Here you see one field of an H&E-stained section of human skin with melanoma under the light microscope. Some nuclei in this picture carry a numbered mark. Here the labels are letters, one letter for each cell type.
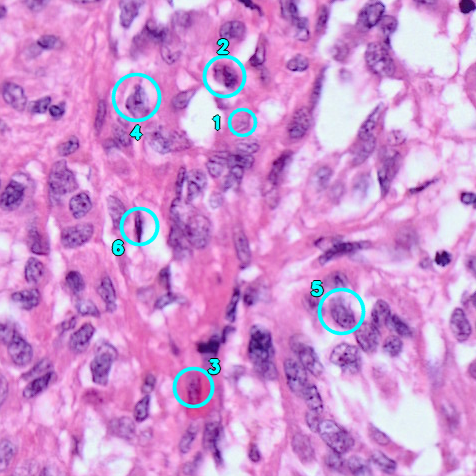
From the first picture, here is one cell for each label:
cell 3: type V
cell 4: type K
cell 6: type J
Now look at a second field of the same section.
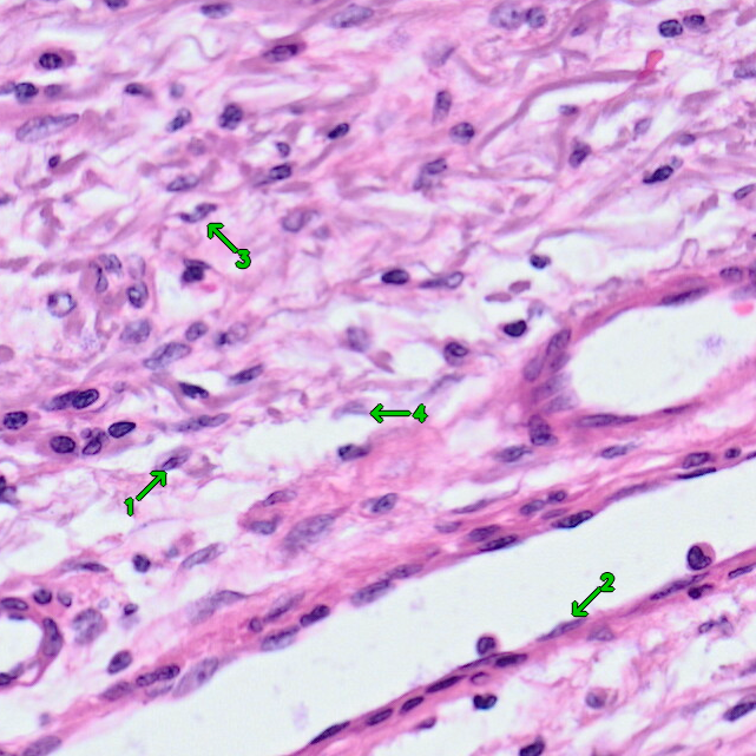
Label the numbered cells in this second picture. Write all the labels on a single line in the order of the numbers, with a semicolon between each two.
type J; type V; type J; type J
